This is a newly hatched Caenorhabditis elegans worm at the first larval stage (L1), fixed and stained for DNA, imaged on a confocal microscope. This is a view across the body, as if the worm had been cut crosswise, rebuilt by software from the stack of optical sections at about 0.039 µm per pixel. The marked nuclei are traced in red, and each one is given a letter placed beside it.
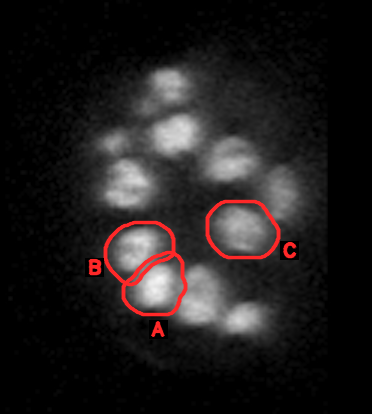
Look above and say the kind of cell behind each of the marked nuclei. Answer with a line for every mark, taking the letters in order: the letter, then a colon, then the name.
A: neuron
B: pharyngeal marginal cell
C: pharyngeal marginal cell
